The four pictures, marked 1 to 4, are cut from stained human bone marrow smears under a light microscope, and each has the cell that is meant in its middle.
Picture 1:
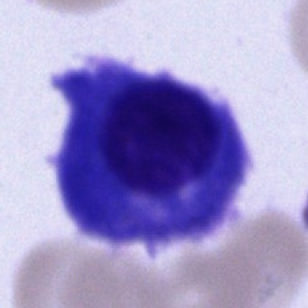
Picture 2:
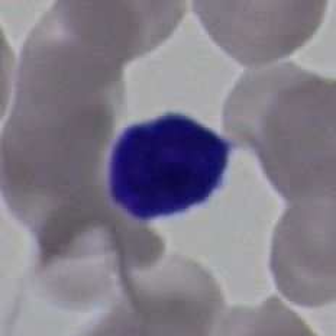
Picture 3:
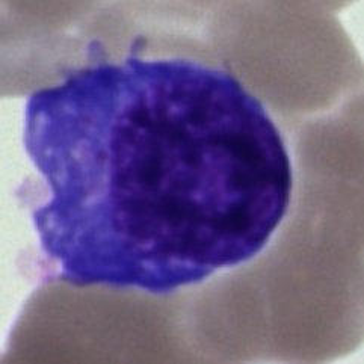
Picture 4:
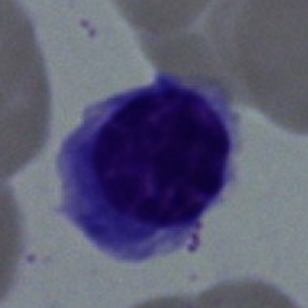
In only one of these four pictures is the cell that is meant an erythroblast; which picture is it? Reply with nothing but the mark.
4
